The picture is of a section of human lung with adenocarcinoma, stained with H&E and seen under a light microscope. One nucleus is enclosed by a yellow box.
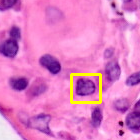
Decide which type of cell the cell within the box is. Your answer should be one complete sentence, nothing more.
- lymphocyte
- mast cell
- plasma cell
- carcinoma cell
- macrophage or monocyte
At the level of cell identity, the cell within the box is a mast cell.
